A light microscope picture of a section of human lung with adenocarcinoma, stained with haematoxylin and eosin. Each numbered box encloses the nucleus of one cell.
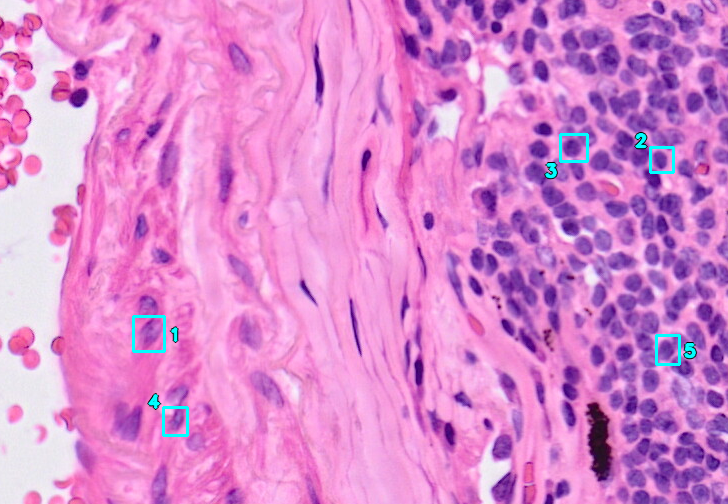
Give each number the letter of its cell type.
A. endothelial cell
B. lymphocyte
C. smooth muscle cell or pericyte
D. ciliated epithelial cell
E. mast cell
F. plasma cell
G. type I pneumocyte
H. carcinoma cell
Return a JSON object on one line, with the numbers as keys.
{"1": "C", "2": "B", "3": "B", "4": "C", "5": "B"}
